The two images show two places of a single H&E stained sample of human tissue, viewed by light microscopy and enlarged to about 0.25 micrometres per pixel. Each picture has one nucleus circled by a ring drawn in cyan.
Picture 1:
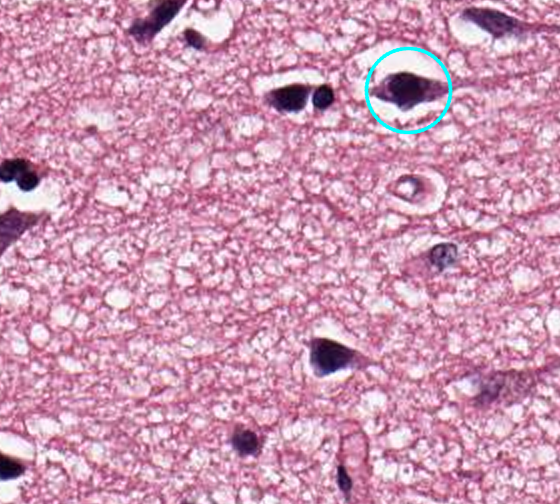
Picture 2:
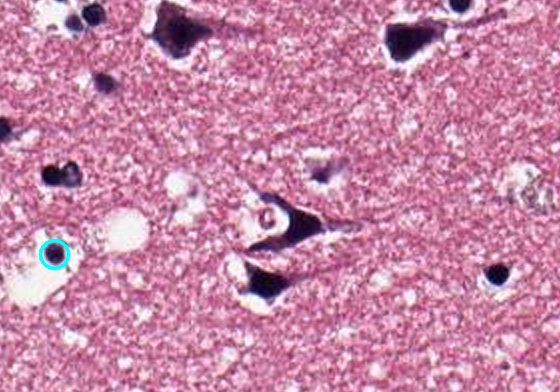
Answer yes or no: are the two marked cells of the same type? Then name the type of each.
No, the first is a neuron and the second an oligodendrocyte.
